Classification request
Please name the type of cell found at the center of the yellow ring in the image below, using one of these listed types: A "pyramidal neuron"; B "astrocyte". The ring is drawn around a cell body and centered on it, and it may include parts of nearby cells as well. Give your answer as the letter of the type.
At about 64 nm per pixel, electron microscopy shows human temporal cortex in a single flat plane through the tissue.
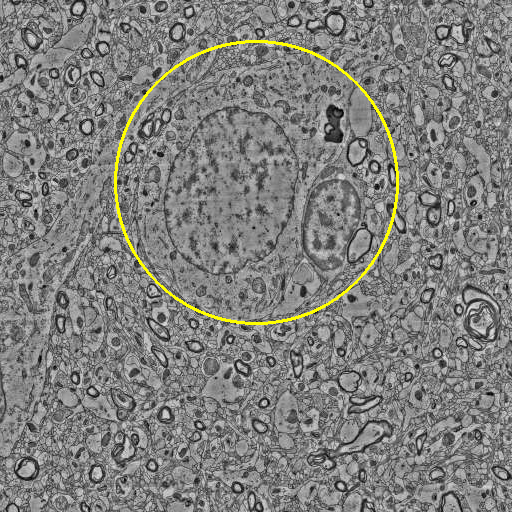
A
